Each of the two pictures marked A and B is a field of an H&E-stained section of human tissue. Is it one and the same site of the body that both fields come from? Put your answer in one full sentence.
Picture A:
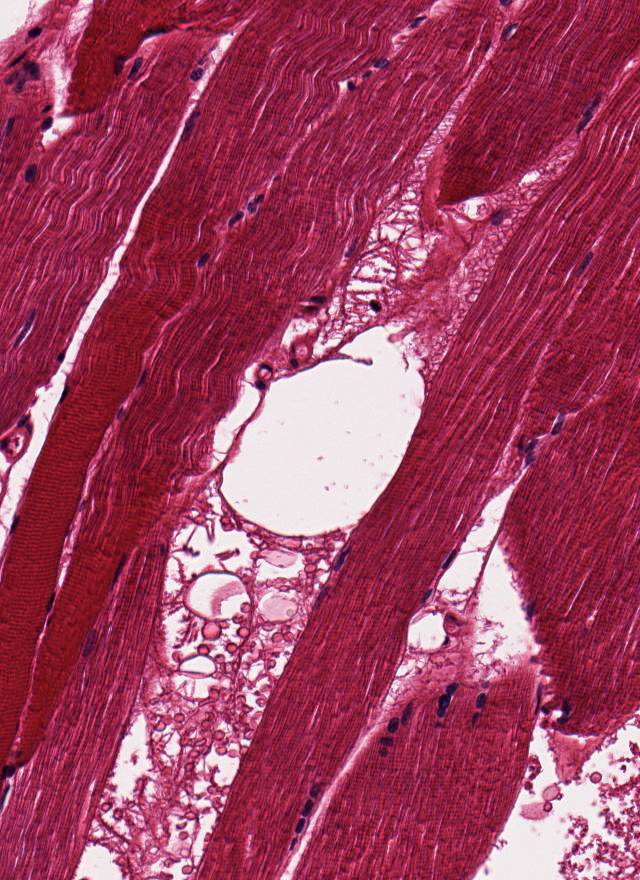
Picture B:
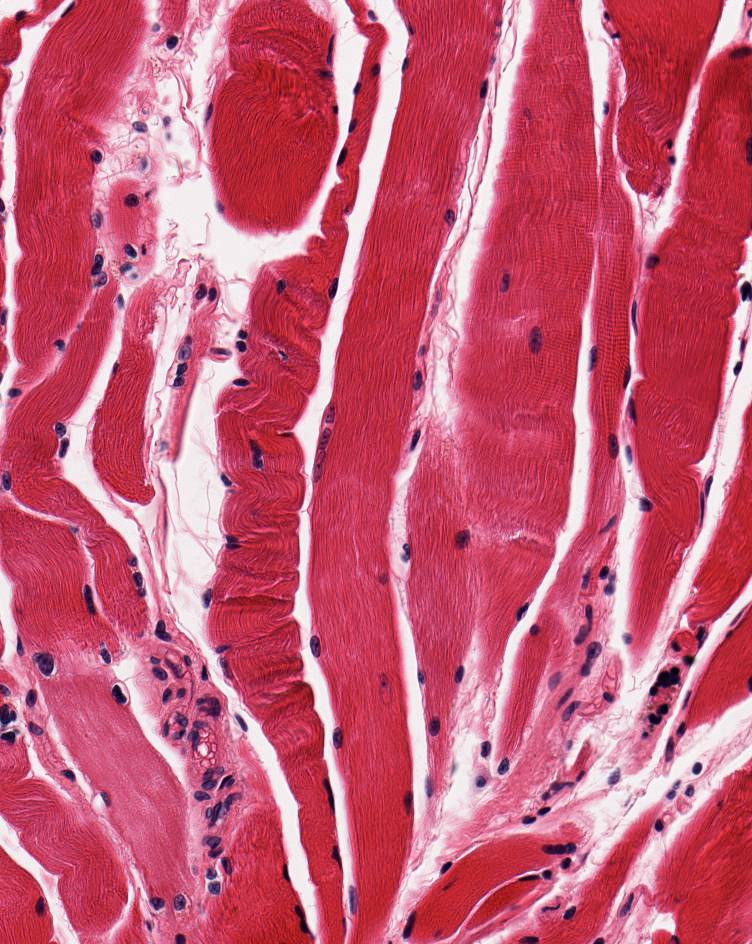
Yes, both come from skeletal muscle.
